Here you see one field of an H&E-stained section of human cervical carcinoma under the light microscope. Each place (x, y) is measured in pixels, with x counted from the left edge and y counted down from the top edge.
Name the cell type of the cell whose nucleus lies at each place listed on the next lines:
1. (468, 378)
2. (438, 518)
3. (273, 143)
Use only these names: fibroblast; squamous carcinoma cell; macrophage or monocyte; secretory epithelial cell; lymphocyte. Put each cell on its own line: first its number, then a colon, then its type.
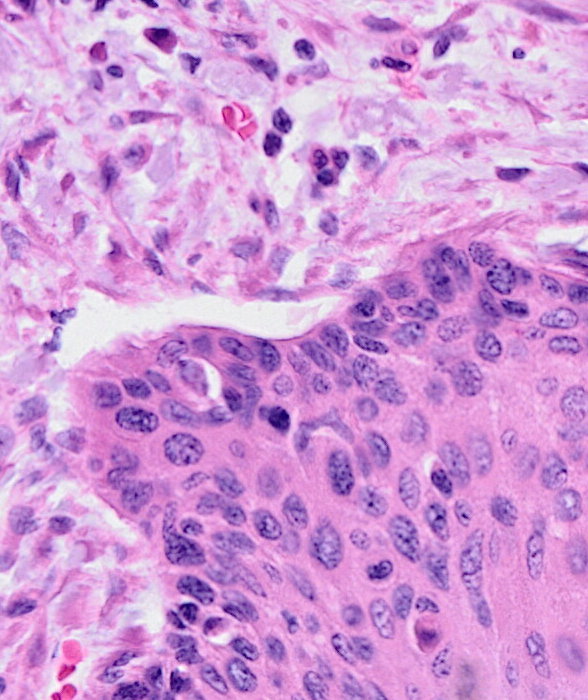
1: squamous carcinoma cell
2: squamous carcinoma cell
3: lymphocyte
